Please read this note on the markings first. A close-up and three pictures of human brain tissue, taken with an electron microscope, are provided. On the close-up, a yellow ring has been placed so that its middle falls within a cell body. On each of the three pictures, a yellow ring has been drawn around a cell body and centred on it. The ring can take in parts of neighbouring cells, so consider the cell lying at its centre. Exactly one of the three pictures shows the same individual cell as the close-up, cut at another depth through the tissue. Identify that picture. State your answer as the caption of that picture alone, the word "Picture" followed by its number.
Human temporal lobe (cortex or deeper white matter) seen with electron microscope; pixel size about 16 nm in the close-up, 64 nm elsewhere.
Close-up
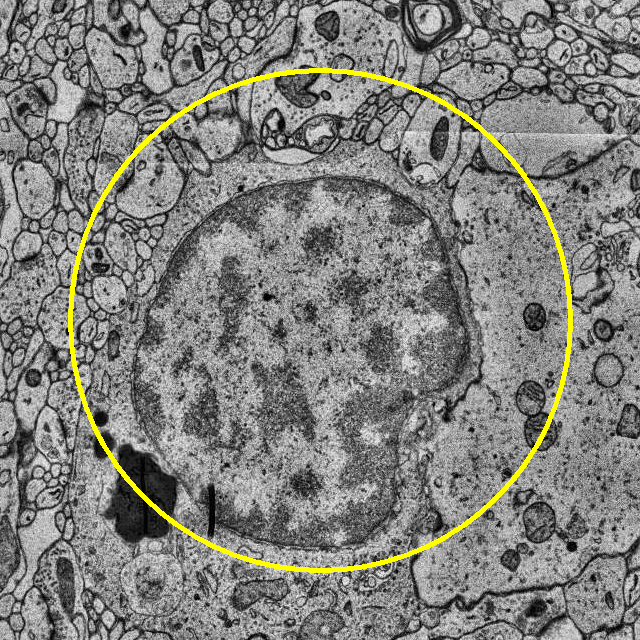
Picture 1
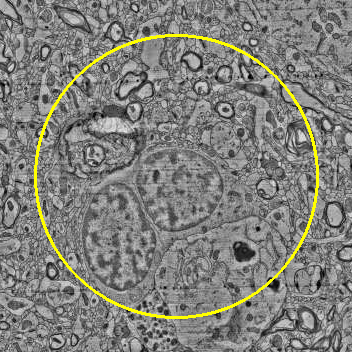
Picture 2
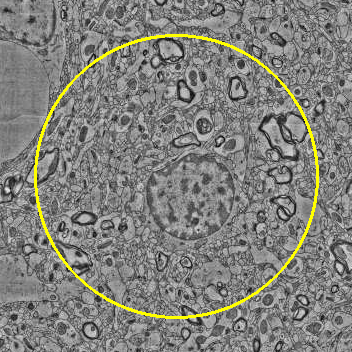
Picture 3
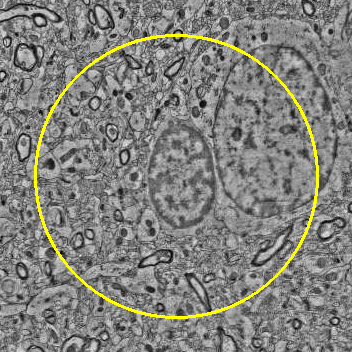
Picture 2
